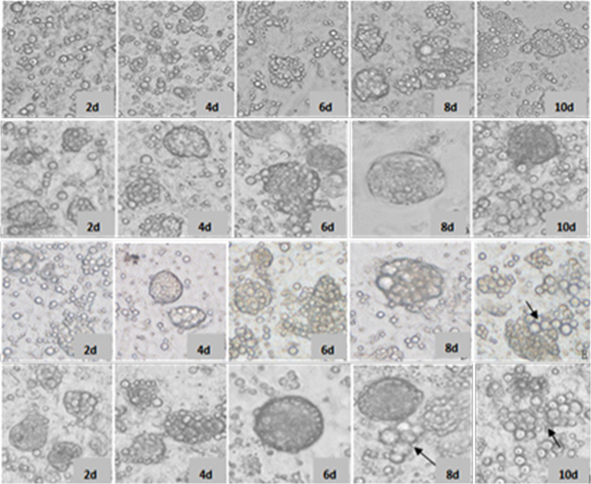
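In several fields the cells gather into compact, rounded clusters with a smooth outer edge, some large and dense enough that single cells within them can no longer be told apart. In some later fields, arrows point to groups of round cells beside the clusters.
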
